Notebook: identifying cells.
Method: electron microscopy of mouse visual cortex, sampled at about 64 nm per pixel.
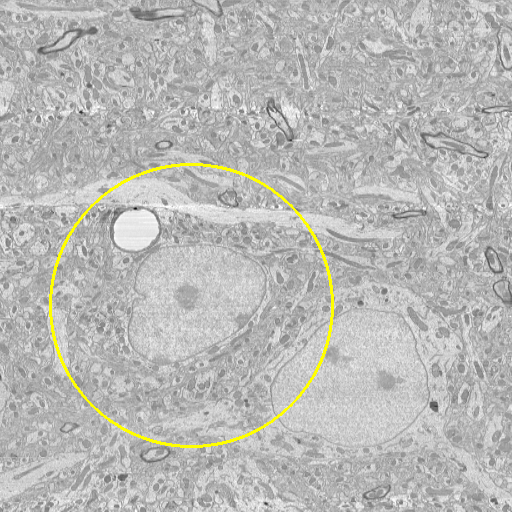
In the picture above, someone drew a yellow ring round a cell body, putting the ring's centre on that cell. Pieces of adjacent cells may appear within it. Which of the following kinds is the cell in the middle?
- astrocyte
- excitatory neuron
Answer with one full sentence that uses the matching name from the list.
In this picture, the yellow ring is centred on the body of an astrocyte.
